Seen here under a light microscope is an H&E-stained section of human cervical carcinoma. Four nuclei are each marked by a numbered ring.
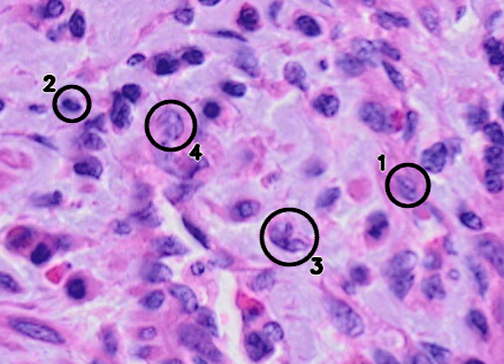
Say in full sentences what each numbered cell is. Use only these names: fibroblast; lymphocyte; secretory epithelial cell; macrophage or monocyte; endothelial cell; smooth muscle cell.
Cells 1 and 4 are endothelial cells. Cell 2 is a lymphocyte. Cell 3 is a macrophage or monocyte.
